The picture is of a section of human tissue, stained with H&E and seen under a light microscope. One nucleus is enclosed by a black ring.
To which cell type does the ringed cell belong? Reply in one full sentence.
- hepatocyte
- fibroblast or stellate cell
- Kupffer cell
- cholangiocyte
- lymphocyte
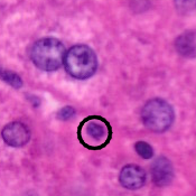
Students should answer that the ringed cell is a lymphocyte.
